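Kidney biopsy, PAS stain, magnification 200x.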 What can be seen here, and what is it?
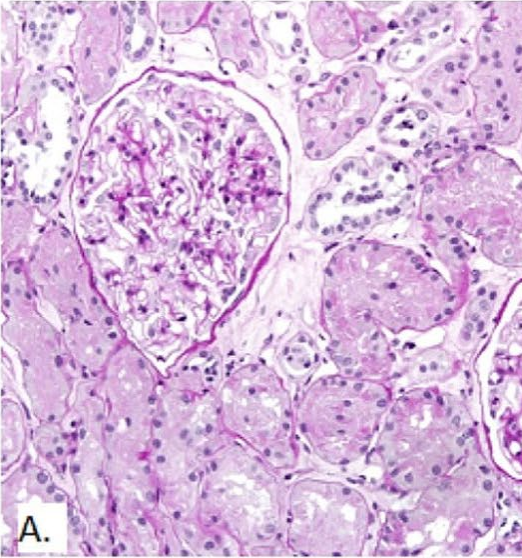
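Renal cortex showing two glomeruli surrounded by tubules. Each glomerulus is a rounded tuft of capillary loops outlined by thin magenta-stained basement membranes, with scattered small dark nuclei of cells within the tuft, and is enclosed by a thin capsule separated from the tuft by a narrow clear space. The capillary walls appear thin and delicate with open lumens. Around the glomeruli lie cross-sections of tubules lined by cuboidal epithelial cells with pink granular cytoplasm and round nuclei, their basement membranes also outlined in magenta, with slender interstitium between them.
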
